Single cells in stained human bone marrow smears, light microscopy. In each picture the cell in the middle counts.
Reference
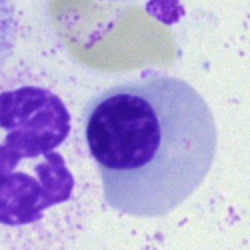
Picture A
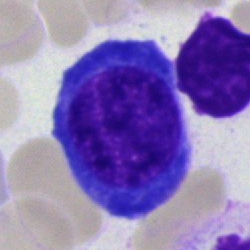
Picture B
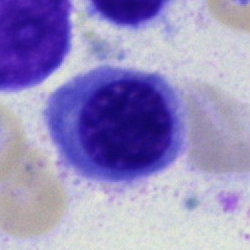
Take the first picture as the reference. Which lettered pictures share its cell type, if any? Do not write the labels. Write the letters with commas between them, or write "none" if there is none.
A, B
